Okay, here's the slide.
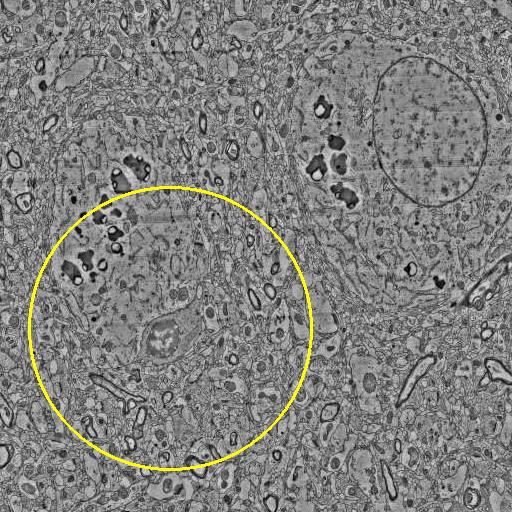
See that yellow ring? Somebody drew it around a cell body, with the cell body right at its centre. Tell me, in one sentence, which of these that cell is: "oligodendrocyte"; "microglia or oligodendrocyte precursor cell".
The cell in the middle of the ring is an oligodendrocyte.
